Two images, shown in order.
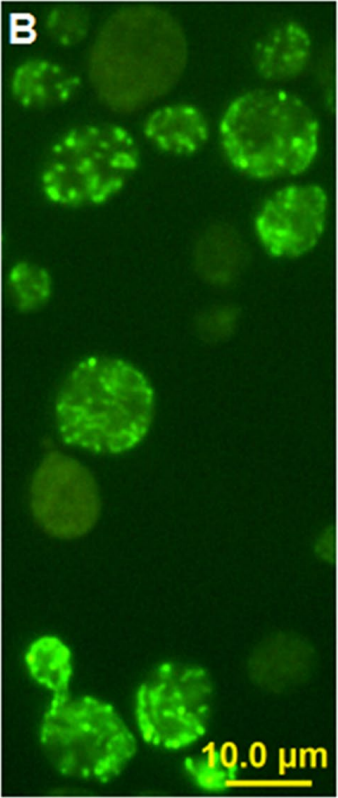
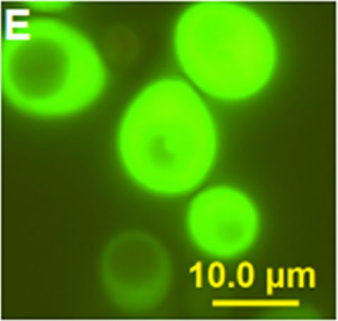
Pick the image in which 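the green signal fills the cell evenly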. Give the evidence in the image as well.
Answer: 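First image: green is in discrete dots and short streaks within the cells. The answer: the second image.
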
